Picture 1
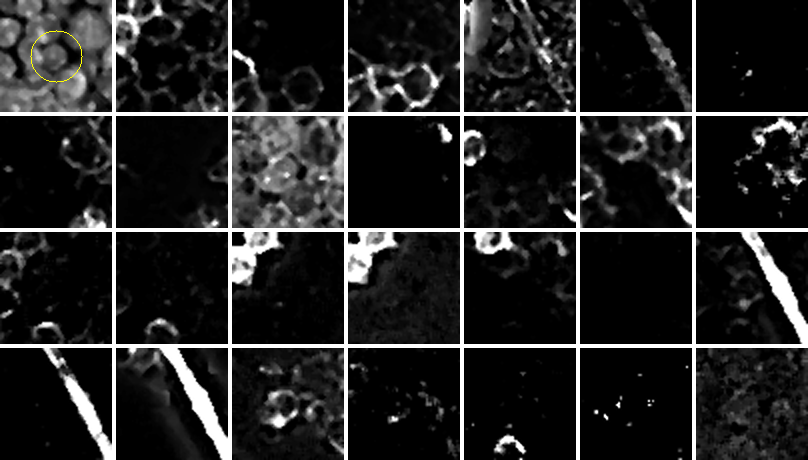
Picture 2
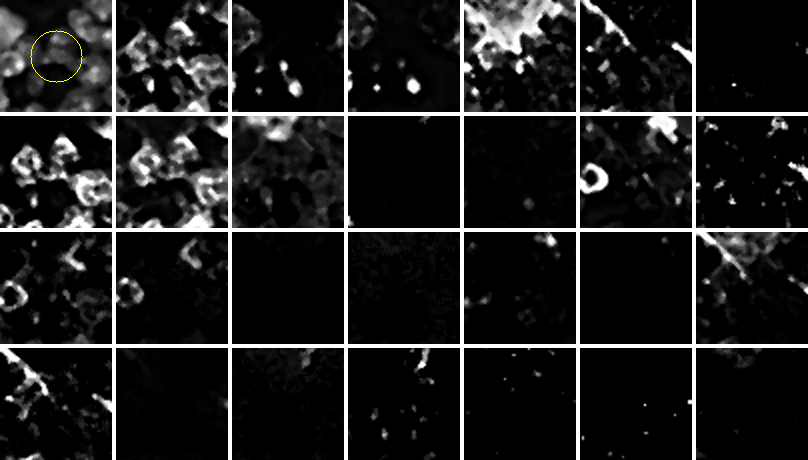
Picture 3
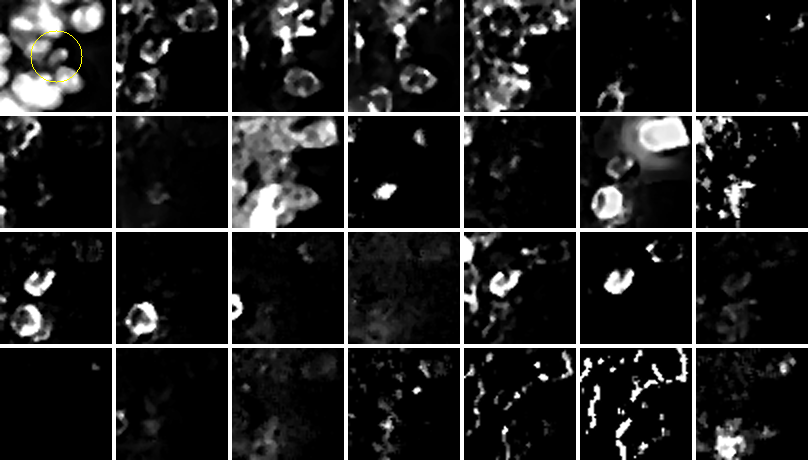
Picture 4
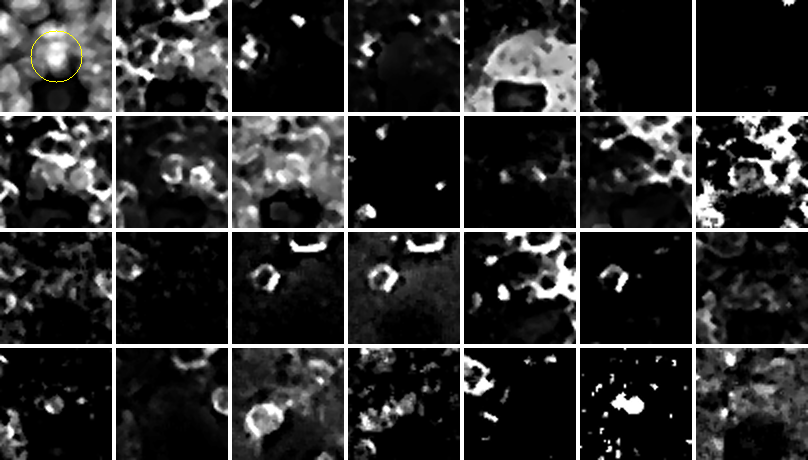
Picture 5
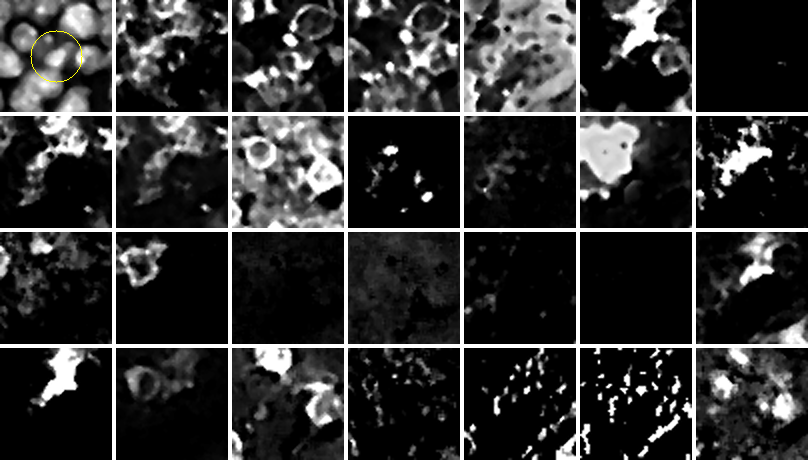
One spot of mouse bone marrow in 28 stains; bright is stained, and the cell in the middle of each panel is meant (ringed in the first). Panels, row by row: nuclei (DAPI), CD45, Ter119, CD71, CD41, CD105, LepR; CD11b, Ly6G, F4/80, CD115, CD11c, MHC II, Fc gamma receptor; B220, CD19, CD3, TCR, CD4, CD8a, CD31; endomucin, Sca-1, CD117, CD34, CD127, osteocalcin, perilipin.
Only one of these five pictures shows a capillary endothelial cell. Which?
Picture 5.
